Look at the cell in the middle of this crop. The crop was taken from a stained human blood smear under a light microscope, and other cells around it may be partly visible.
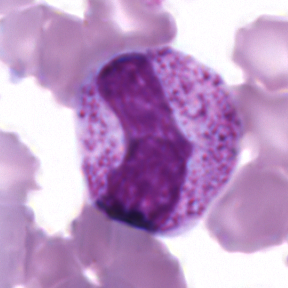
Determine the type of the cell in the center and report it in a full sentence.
On this slide crop, the central cell is a band neutrophil.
